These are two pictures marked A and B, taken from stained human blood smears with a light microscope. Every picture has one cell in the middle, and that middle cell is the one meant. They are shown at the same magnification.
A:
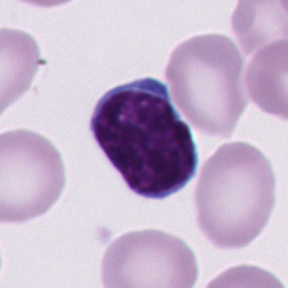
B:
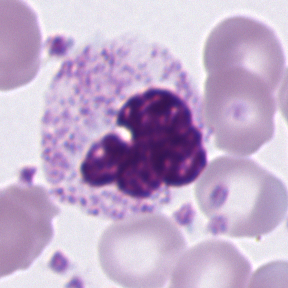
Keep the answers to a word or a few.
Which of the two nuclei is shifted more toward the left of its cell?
A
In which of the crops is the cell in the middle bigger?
B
